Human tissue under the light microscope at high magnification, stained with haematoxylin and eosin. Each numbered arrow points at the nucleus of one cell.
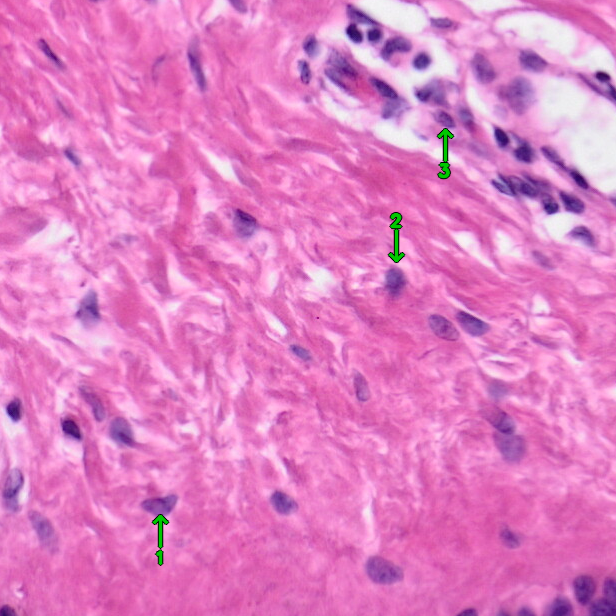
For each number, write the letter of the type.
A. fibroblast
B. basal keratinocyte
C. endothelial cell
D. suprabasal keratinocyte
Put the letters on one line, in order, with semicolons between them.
A; A; C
